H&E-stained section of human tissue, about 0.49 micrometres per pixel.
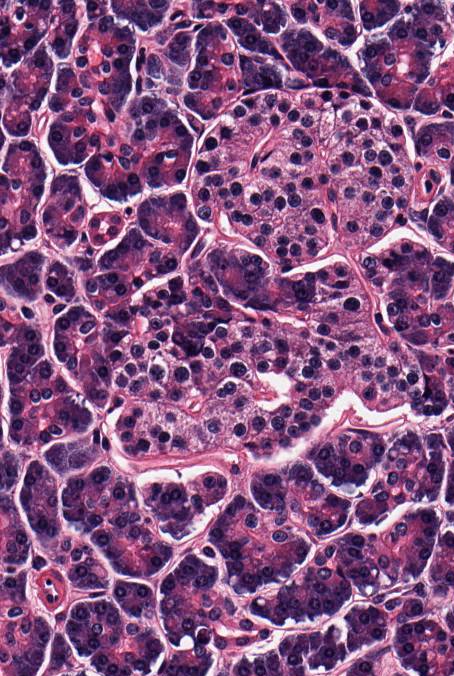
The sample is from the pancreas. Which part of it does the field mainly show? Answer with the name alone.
exocrine pancreas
